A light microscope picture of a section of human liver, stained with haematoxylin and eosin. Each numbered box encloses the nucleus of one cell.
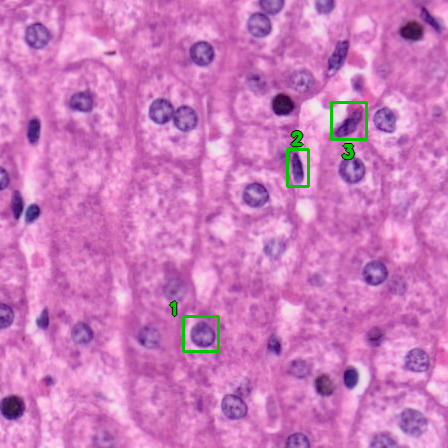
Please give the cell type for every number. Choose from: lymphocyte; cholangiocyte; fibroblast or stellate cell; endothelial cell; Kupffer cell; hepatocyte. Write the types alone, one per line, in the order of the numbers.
hepatocyte
endothelial cell
Kupffer cell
